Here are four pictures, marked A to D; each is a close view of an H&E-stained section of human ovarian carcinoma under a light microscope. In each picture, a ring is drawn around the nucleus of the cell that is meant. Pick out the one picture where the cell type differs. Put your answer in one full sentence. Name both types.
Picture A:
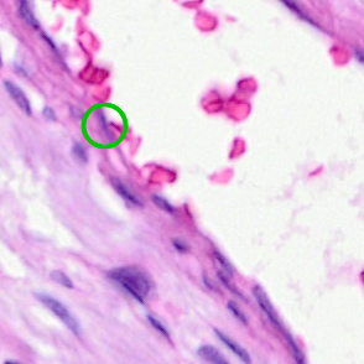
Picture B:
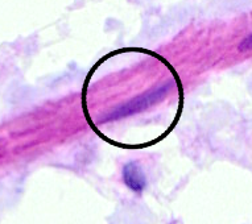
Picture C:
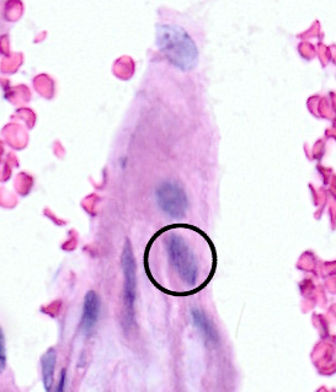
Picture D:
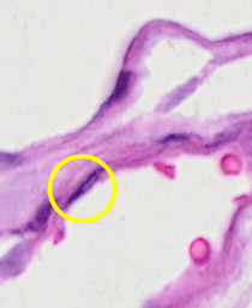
The different one is picture B; it shows a smooth muscle cell, whereas all the others show endothelial cells.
